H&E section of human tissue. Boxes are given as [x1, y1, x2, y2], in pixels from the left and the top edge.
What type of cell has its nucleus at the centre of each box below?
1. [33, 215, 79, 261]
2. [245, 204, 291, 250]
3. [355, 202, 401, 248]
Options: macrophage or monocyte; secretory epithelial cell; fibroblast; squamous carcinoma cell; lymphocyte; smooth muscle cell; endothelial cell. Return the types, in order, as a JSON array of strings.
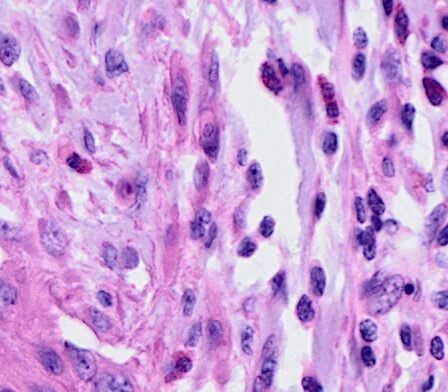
["fibroblast", "lymphocyte", "lymphocyte"]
